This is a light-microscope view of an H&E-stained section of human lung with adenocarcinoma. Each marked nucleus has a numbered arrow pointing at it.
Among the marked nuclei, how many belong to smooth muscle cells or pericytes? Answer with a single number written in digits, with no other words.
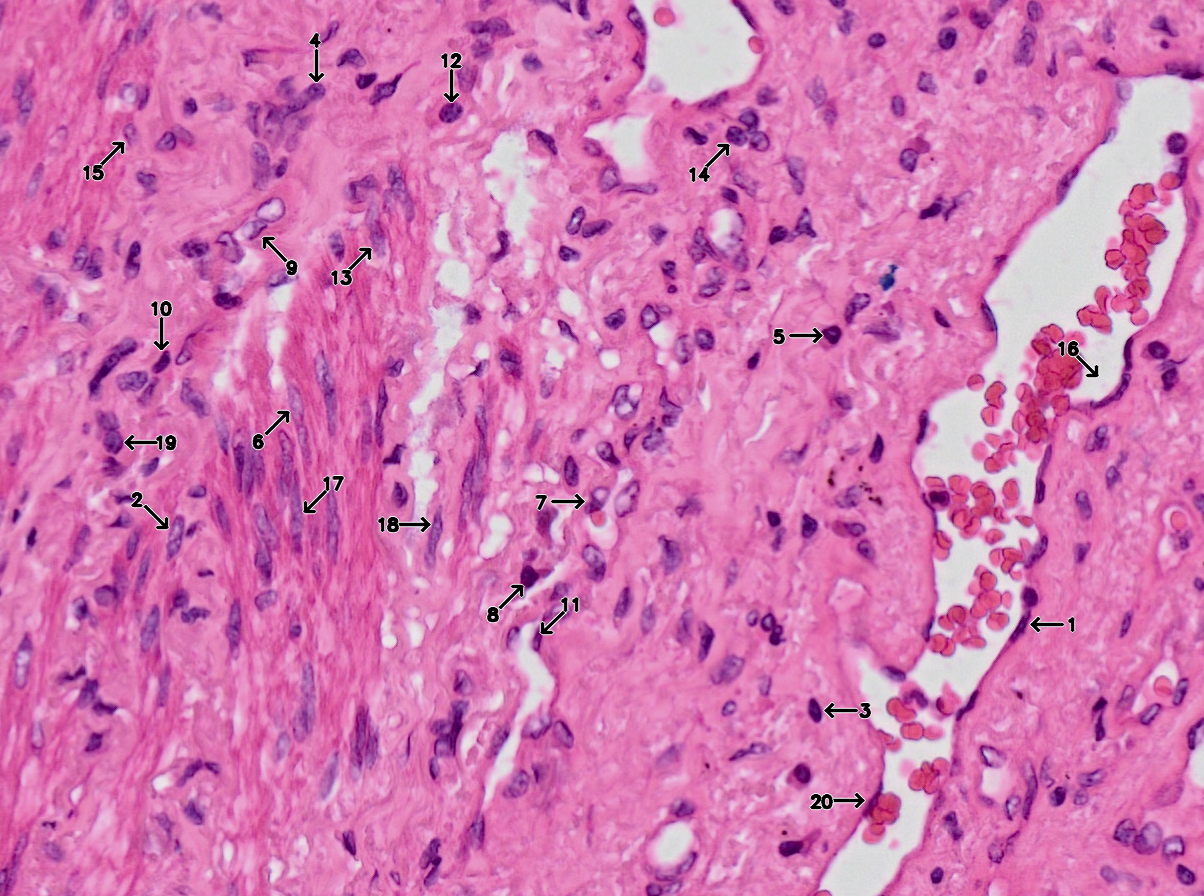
6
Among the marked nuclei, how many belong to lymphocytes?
3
